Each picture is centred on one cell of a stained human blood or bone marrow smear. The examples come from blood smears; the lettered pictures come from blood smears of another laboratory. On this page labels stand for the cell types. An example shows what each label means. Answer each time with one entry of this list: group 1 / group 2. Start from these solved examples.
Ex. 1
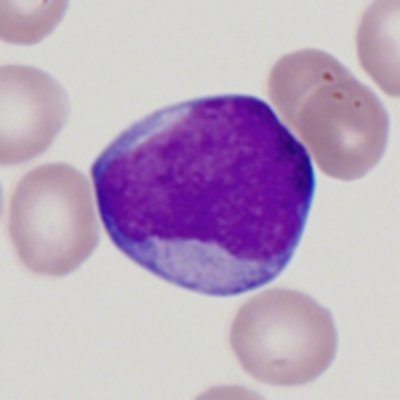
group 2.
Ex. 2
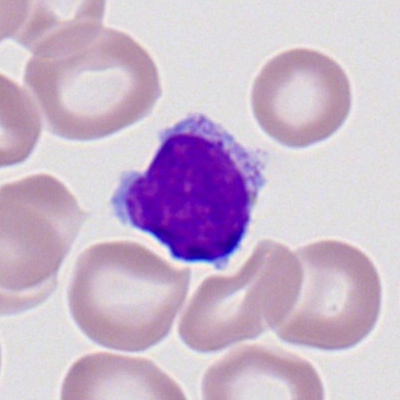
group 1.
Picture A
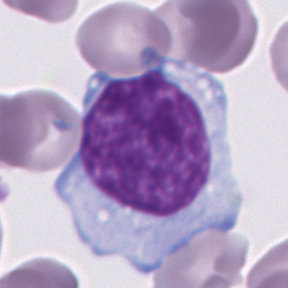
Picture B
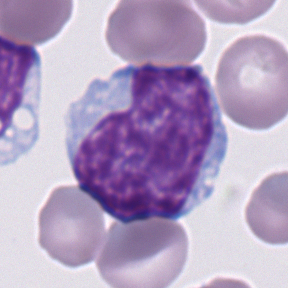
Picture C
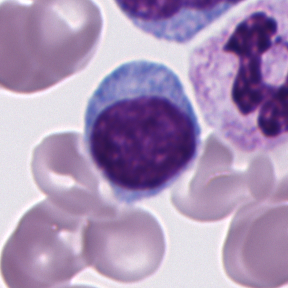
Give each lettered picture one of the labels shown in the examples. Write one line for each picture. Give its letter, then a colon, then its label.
A: group 2.
B: group 2.
C: group 1.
